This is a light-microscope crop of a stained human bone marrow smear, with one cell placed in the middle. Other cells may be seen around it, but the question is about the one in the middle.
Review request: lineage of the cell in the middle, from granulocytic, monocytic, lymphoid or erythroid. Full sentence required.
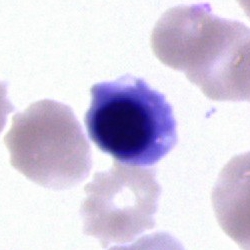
Lineage result for the cell in the middle of the crop: erythroid.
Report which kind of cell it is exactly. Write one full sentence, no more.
Classified as an erythroblast is the cell in the middle of this crop.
